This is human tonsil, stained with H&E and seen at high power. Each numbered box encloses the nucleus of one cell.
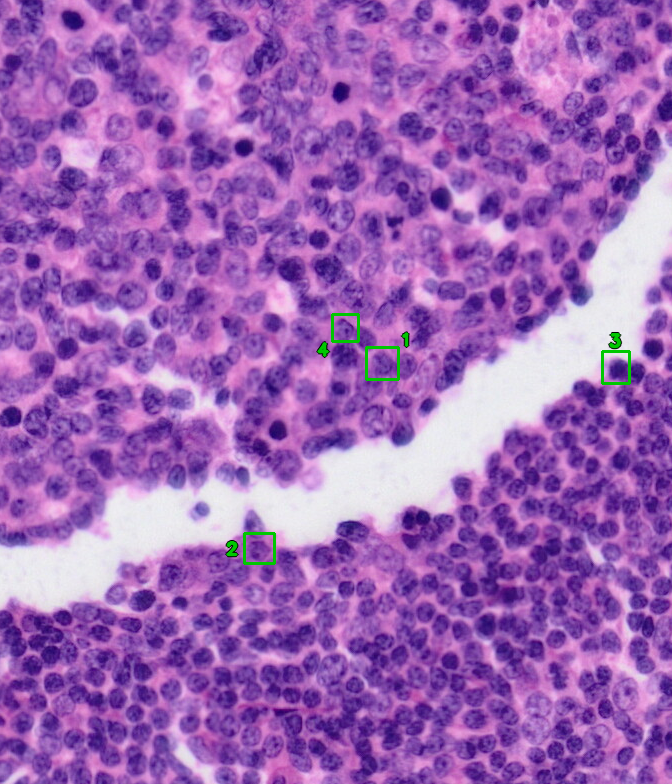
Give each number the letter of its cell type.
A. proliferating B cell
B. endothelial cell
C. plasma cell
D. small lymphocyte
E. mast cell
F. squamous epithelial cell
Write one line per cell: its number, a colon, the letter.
1: A
2: A
3: D
4: A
